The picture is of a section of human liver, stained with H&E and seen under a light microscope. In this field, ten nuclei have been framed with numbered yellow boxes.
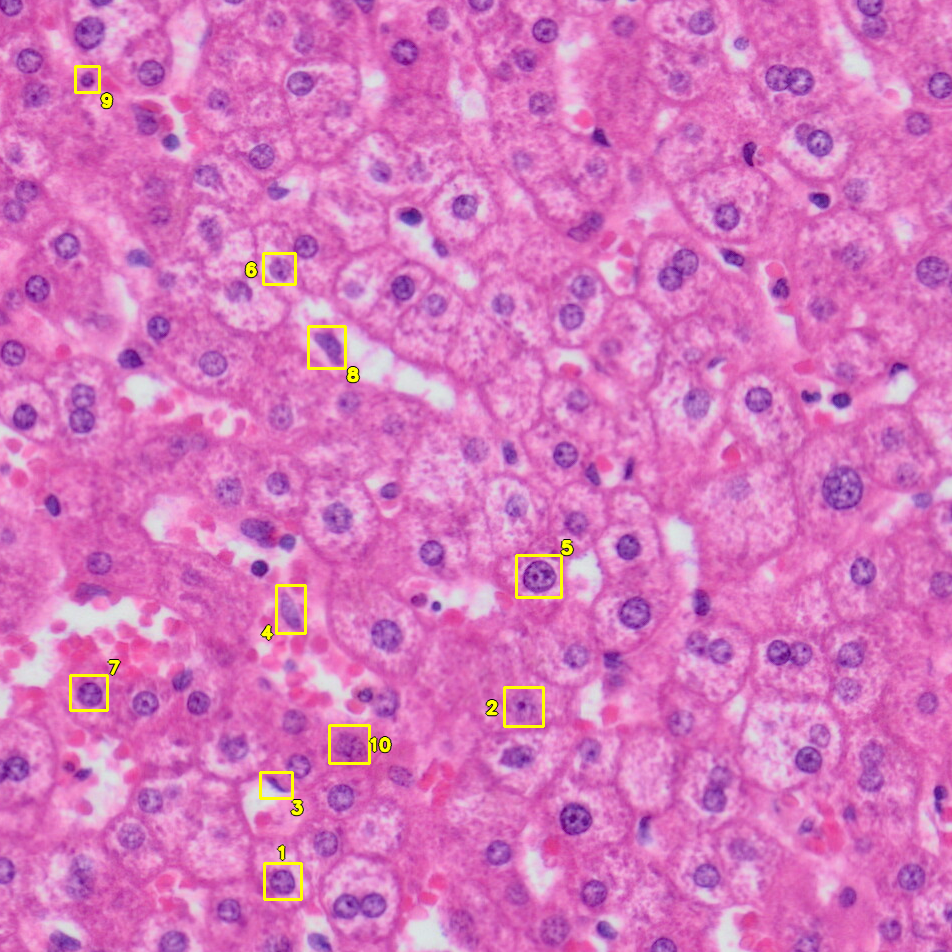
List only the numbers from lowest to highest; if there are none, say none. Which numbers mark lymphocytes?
9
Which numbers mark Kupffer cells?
4, 8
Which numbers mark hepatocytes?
1, 2, 5, 6, 7, 10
